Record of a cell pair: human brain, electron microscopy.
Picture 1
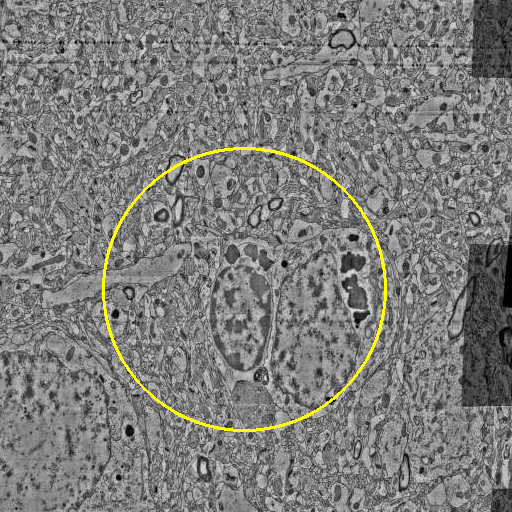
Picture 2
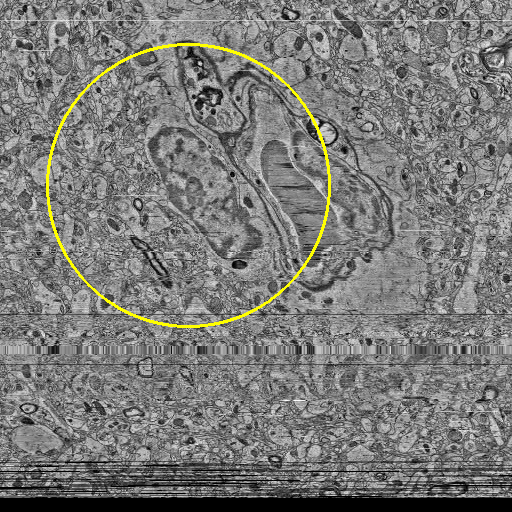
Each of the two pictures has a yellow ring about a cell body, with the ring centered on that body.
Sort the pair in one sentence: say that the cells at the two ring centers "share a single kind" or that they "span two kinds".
The cells centered in the rings of Pictures 1 and 2 share a single kind.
